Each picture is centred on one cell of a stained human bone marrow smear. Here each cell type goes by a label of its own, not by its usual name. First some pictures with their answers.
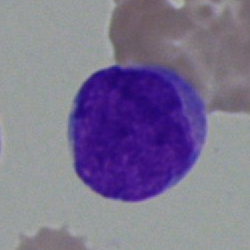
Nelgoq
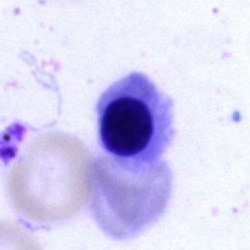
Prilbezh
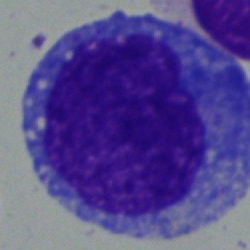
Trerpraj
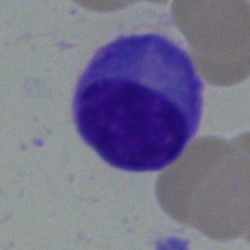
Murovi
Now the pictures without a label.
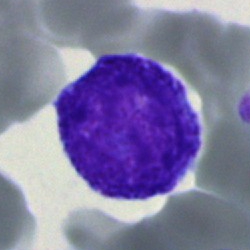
Nelgoq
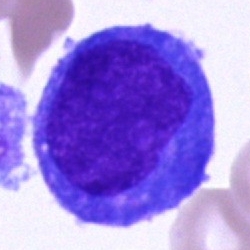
Nelgoq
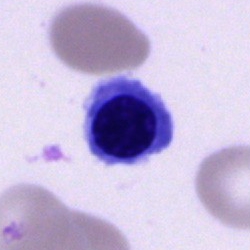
Prilbezh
